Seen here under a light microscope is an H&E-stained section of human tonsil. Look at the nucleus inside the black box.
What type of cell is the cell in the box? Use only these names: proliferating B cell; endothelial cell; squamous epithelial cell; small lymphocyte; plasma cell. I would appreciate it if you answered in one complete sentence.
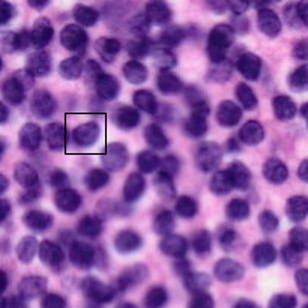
Cytologically, the cell in the box is to be regarded as a small lymphocyte.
